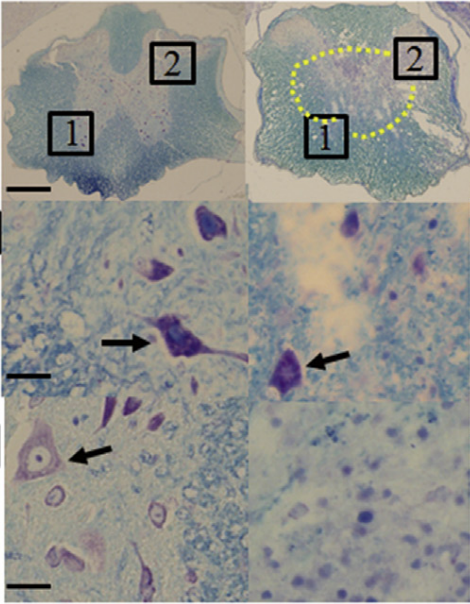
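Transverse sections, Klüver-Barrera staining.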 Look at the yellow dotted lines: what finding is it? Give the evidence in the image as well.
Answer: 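The outlined central region is paler and more purple than the surrounding blue-stained tissue. The usual butterfly-shaped grey-matter pattern is lost inside the outline. That points to this answer: lesion area.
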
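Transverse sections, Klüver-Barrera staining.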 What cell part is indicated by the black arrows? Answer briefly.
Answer: Soma of neurons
